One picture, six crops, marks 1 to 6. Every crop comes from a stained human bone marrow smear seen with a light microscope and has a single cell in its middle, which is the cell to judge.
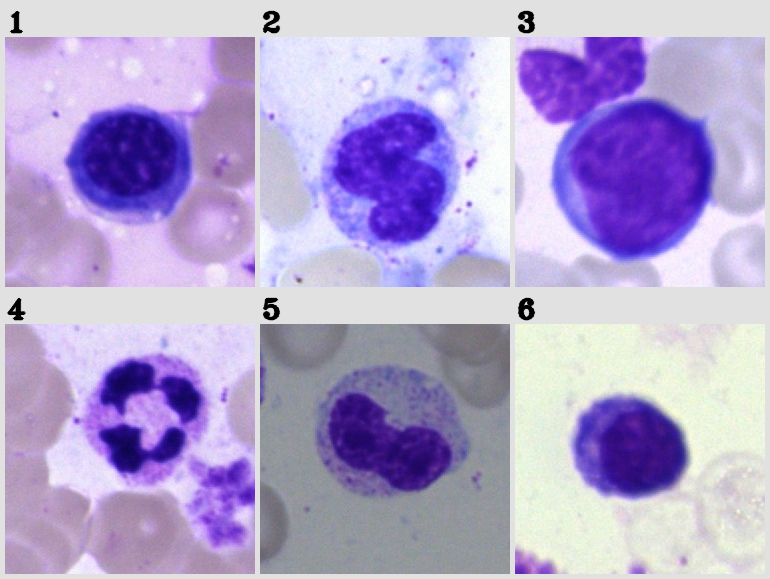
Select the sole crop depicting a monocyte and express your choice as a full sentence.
Crop 2 alone, of all the crops, shows a monocyte.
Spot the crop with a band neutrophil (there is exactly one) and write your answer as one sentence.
Crop 5 is the one depicting a band neutrophil.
